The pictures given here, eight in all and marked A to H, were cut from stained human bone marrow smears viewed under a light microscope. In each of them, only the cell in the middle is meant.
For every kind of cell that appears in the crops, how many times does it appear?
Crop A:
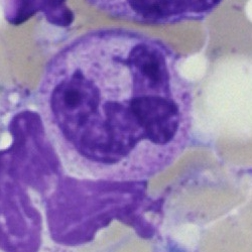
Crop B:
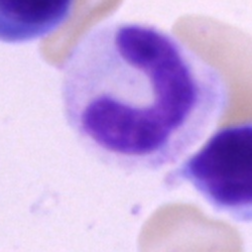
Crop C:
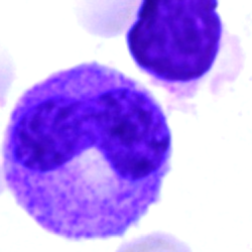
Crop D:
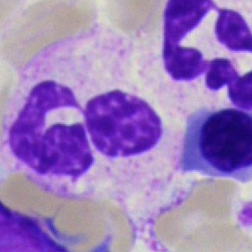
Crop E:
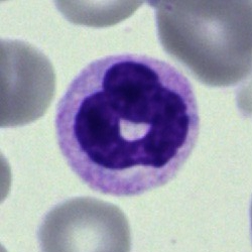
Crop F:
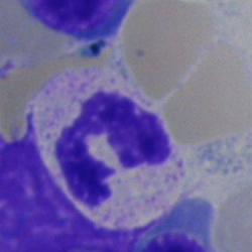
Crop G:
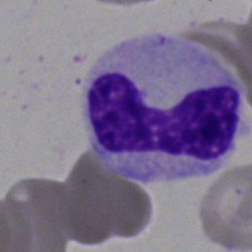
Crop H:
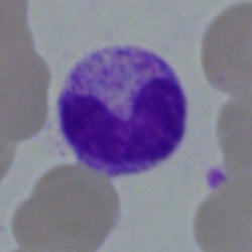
segmented neutrophil: 4
band neutrophil: 4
